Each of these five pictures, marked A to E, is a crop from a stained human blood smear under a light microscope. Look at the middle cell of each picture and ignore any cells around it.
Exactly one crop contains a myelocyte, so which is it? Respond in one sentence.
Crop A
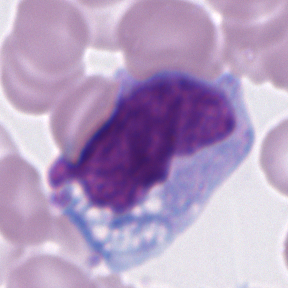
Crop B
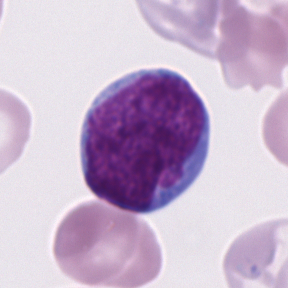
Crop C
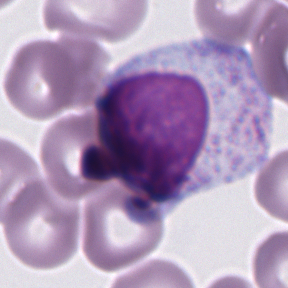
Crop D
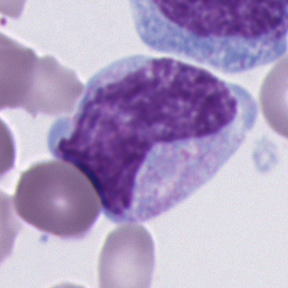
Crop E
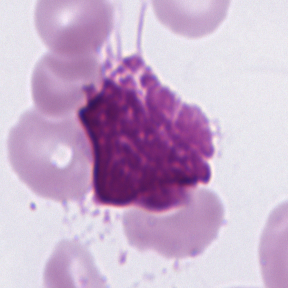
Crop C is the crop containing a myelocyte.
